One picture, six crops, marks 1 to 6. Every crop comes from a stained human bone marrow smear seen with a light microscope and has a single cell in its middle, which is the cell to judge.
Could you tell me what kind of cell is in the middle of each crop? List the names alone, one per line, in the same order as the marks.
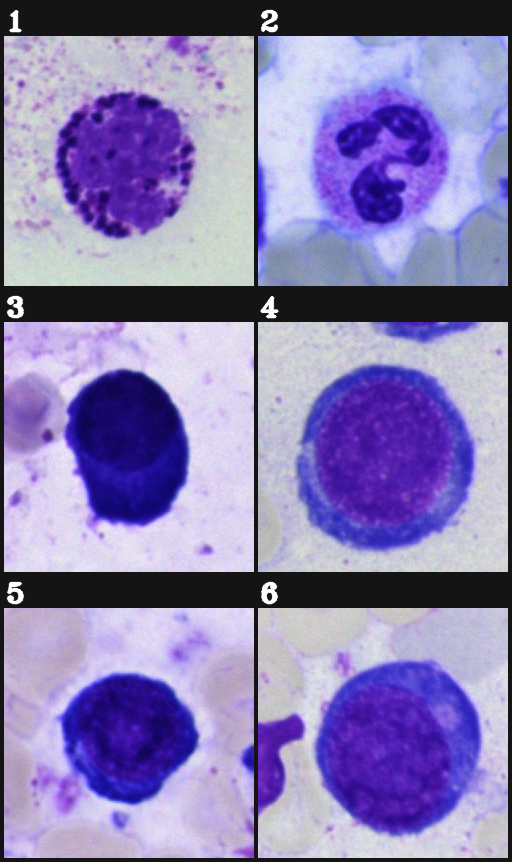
basophil
segmented neutrophil
plasma cell
proerythroblast
proerythroblast
proerythroblast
